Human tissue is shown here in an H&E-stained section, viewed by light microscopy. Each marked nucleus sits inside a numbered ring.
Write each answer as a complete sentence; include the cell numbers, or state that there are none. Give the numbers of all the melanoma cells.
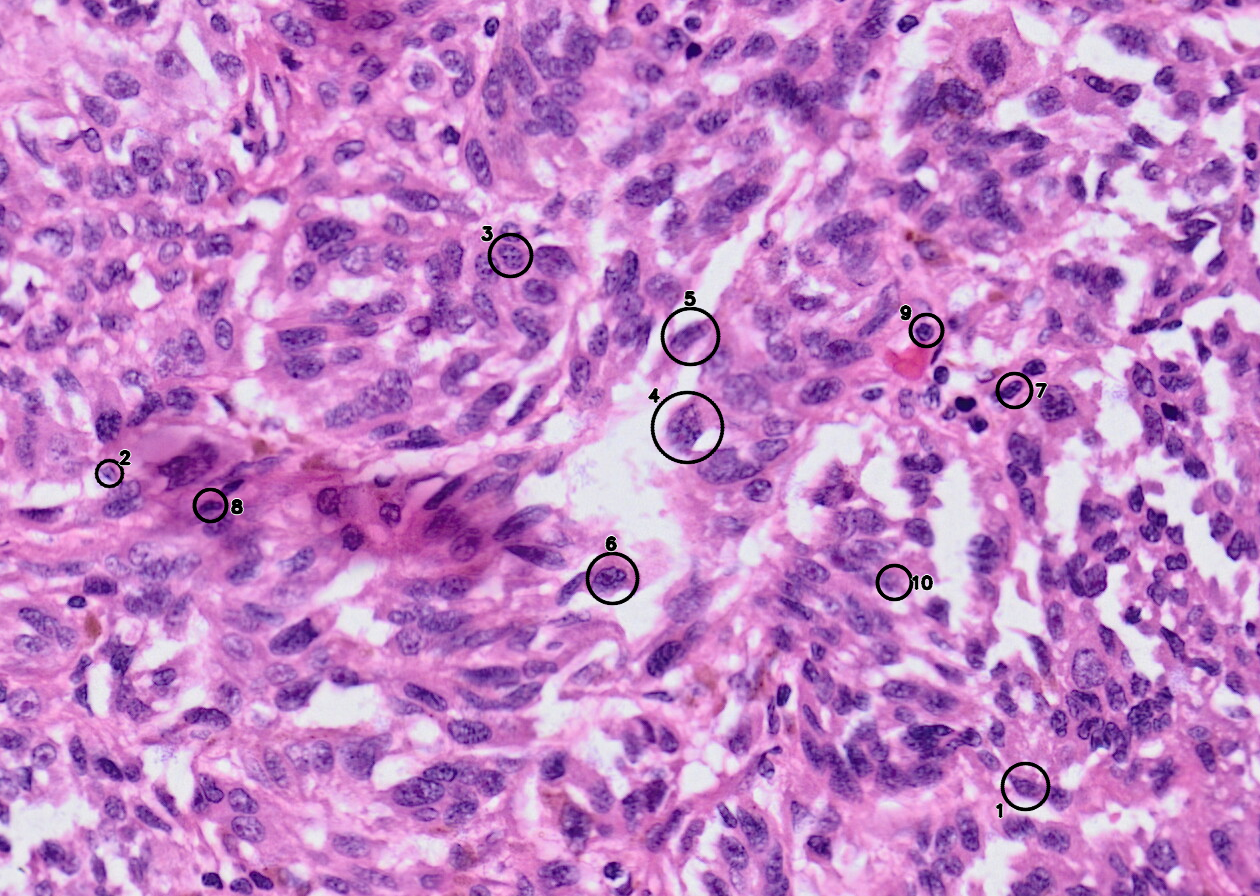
The cells the numbers 1, 3, 4, 5, 6 and 10 point to are melanoma cells.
